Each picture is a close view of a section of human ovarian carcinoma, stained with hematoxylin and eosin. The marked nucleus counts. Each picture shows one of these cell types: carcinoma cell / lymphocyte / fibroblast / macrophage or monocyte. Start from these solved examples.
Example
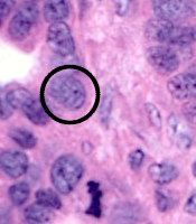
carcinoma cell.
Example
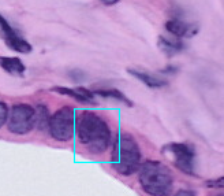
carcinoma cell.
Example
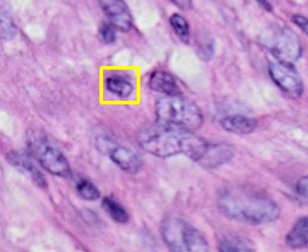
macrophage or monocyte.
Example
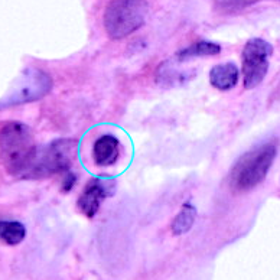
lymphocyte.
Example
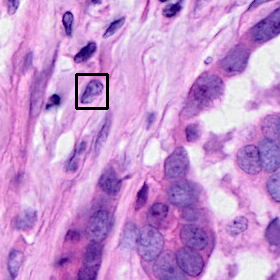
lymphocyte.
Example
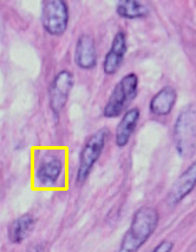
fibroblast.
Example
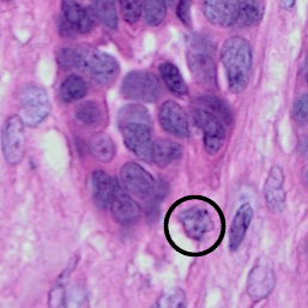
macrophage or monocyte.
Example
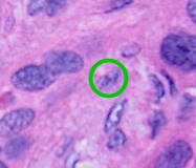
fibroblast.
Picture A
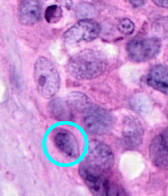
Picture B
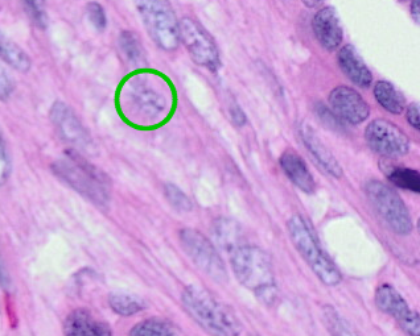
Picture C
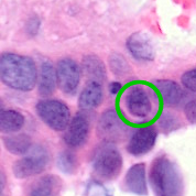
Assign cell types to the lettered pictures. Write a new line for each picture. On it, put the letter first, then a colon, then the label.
A: macrophage or monocyte.
B: fibroblast.
C: carcinoma cell.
